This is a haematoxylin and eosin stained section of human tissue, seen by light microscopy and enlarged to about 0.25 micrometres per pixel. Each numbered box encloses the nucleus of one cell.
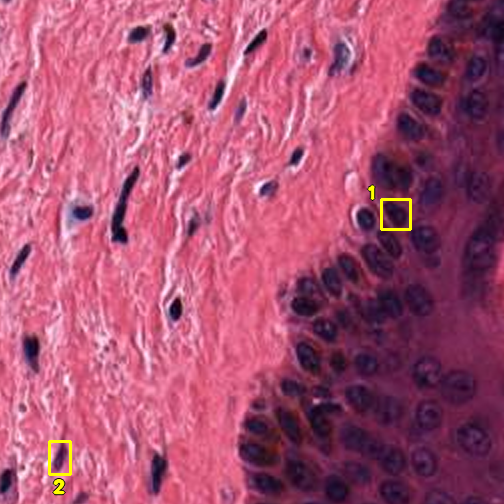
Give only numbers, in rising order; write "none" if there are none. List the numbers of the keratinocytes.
1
